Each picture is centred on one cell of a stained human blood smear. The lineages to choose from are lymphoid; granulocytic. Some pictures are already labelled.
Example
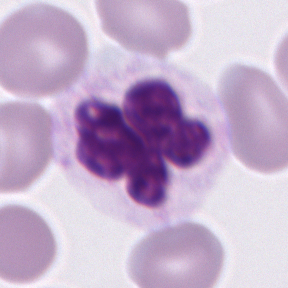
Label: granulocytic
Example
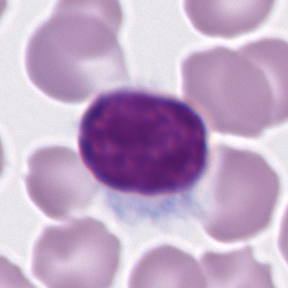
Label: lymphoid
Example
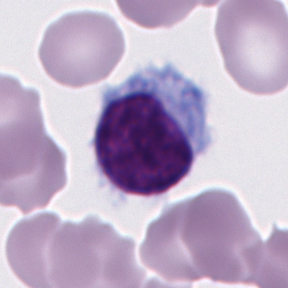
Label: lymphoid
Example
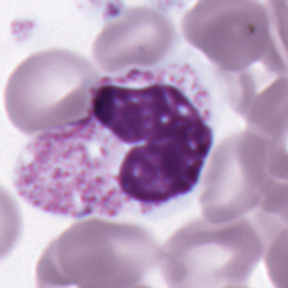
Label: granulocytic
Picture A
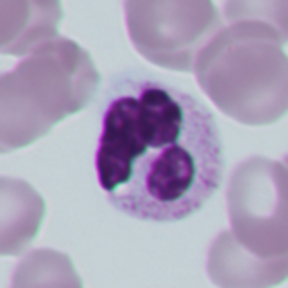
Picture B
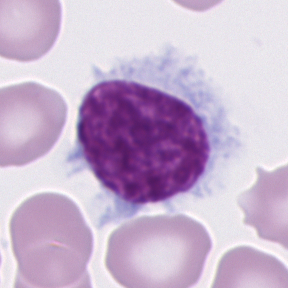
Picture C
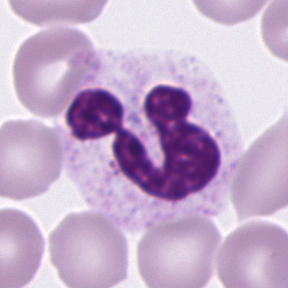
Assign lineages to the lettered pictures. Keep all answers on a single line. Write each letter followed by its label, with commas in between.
A granulocytic, B lymphoid, C granulocytic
